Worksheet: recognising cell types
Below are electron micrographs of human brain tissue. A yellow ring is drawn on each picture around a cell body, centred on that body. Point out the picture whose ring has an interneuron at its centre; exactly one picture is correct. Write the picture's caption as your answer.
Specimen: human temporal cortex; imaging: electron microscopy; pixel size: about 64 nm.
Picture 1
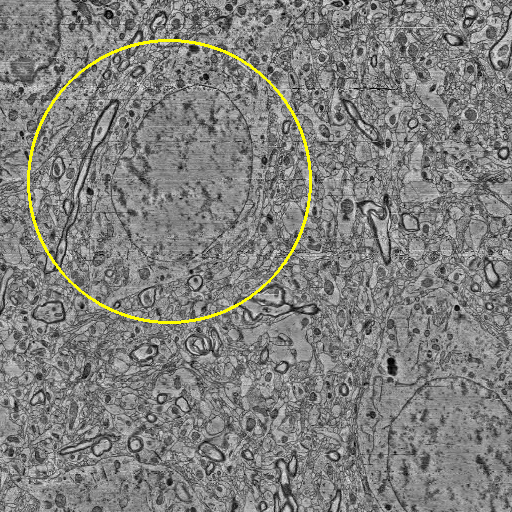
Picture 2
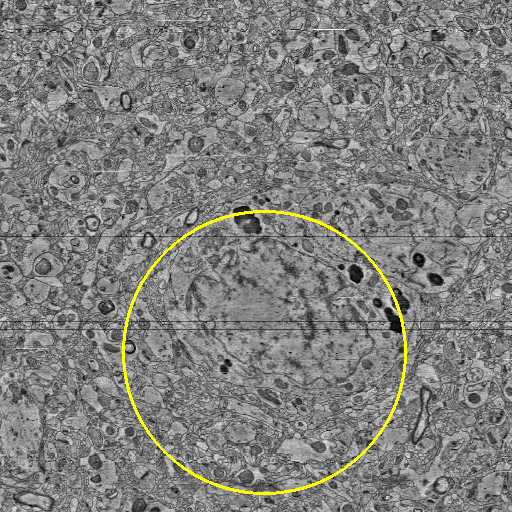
Picture 2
